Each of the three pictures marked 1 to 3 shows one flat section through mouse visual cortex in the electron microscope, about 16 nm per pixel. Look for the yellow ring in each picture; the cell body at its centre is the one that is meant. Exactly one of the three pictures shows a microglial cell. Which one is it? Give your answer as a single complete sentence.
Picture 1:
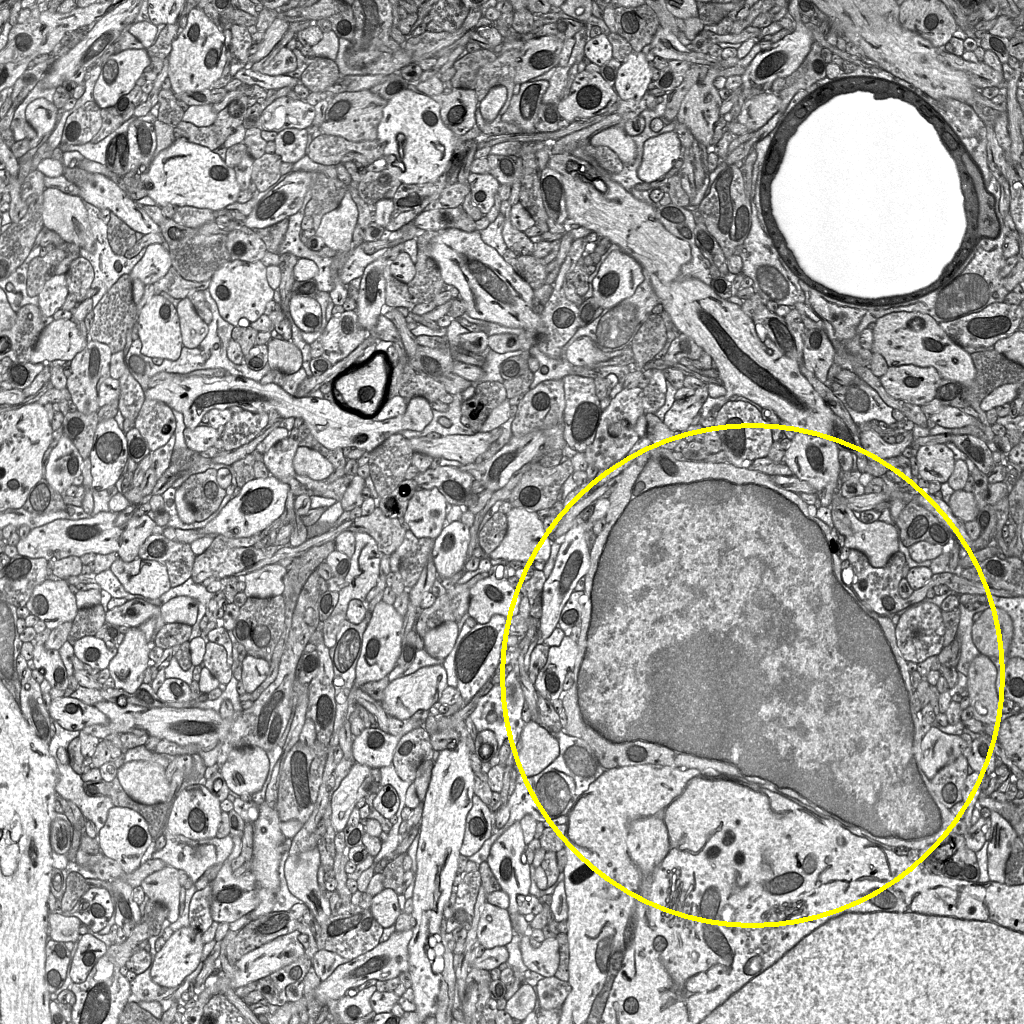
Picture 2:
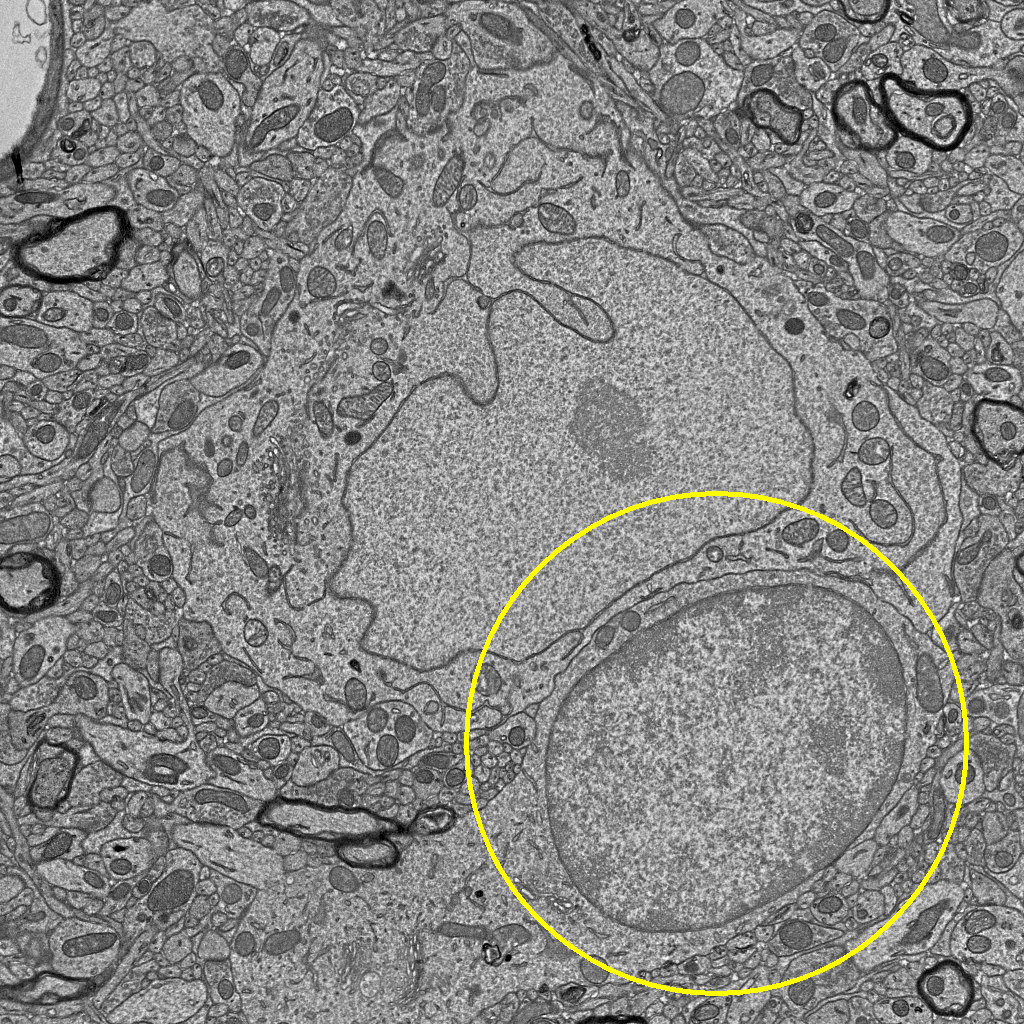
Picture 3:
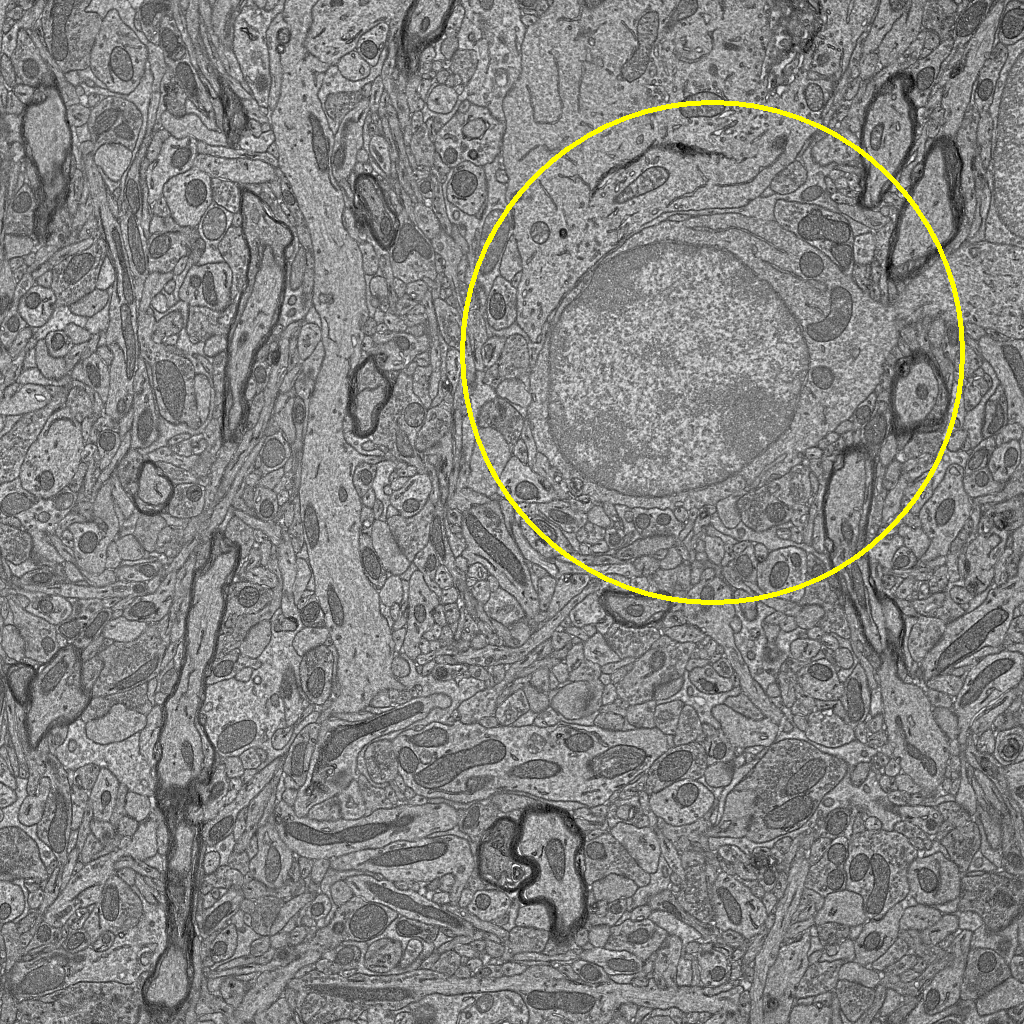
The microglial cell is the one in picture 1.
